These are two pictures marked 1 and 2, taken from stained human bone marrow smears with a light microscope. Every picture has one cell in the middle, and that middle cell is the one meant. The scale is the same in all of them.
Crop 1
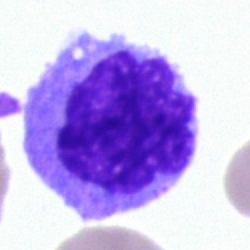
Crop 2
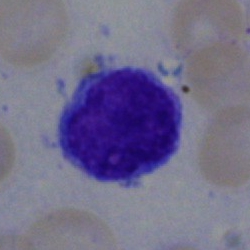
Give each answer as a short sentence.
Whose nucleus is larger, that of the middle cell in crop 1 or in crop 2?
The nucleus in crop 1 is larger, with about 1.5 times the area of the one in crop 2.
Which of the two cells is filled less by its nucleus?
Of the two, the nucleus in crop 1 leaves more room for cytoplasm.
